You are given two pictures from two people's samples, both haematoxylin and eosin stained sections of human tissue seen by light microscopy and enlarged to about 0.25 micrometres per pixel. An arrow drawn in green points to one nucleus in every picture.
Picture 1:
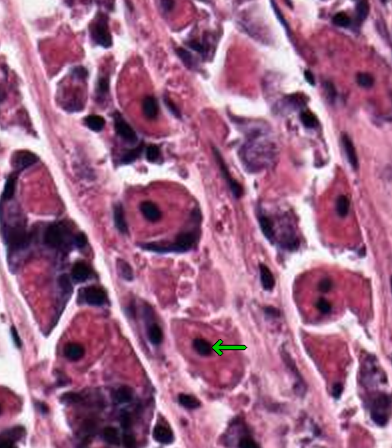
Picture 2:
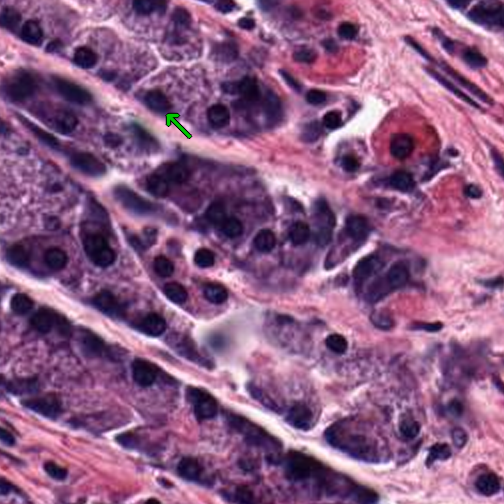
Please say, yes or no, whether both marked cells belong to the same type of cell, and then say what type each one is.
No, the first is a parietal cell and the second a chief cell.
